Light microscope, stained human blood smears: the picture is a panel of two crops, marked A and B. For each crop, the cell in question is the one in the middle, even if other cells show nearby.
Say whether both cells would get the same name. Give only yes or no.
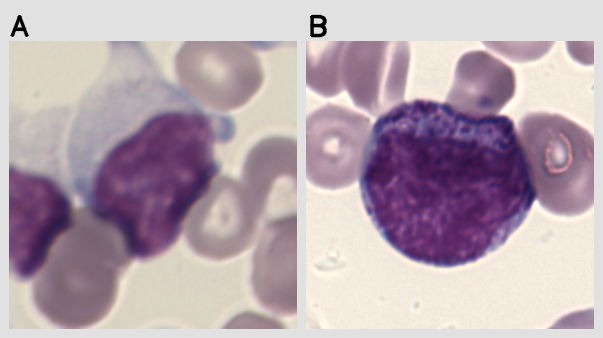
no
